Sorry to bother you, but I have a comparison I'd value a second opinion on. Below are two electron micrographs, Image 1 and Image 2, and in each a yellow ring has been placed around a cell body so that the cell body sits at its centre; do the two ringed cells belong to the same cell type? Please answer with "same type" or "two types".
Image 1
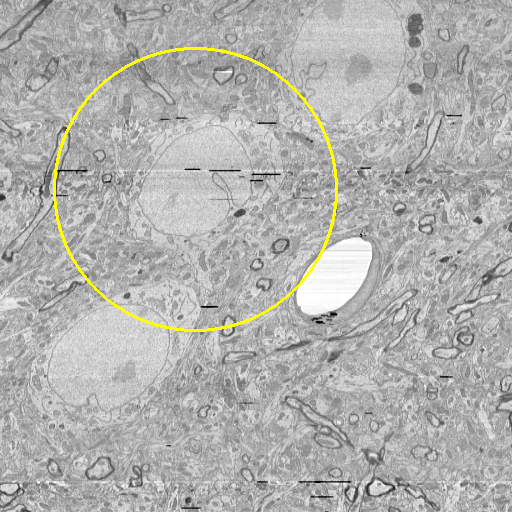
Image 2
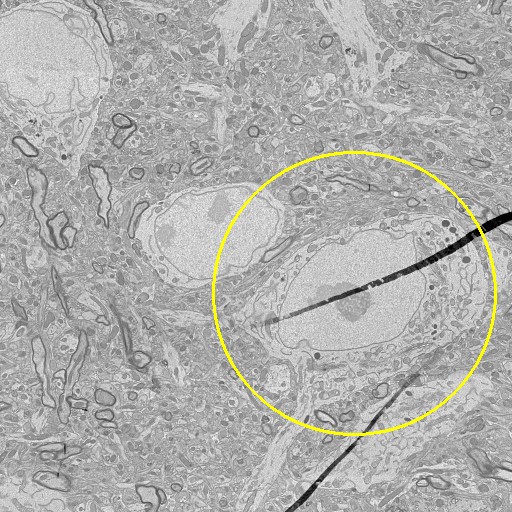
two types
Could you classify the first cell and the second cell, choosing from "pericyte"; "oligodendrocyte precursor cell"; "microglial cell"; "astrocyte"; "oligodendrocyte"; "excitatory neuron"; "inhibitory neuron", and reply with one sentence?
The second cell is an inhibitory neuron, while the first is an excitatory neuron.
